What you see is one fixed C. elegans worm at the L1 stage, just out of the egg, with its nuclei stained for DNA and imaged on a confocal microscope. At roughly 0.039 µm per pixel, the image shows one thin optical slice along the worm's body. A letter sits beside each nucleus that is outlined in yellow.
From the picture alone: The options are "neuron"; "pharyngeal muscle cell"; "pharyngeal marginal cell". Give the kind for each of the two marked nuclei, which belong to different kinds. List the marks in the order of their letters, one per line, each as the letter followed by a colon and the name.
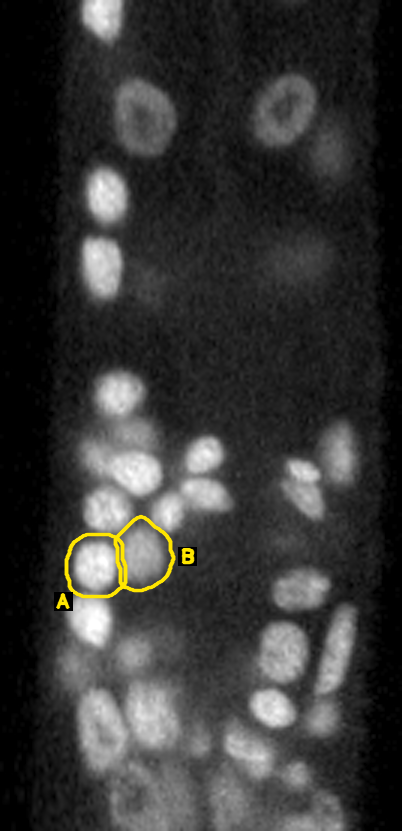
A: neuron
B: pharyngeal marginal cell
